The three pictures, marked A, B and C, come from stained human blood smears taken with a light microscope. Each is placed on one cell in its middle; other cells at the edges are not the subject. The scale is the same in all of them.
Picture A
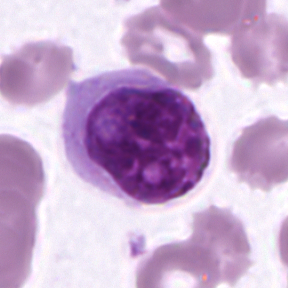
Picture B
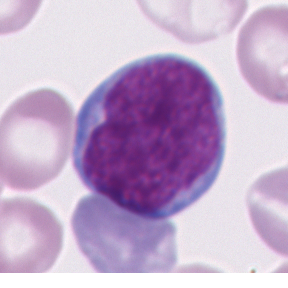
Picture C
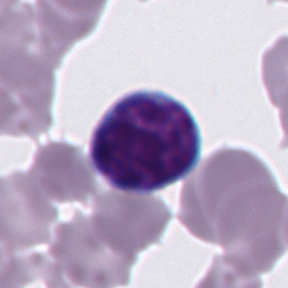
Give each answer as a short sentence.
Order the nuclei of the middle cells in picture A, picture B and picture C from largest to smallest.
Going down, they run B, A, C.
